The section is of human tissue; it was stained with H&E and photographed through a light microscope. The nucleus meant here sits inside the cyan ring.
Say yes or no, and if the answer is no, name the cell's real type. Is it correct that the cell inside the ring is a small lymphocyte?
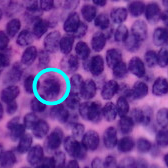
Yes.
